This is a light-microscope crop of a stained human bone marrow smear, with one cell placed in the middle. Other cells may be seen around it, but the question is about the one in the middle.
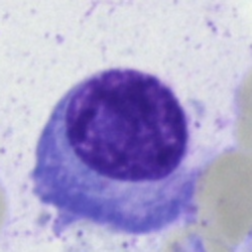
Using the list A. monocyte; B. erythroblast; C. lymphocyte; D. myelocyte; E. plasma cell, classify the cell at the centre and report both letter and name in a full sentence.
The cell placed in the middle is a plasma cell; option E is correct.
